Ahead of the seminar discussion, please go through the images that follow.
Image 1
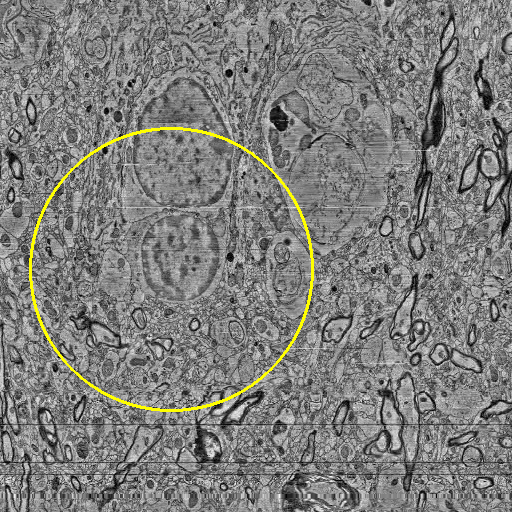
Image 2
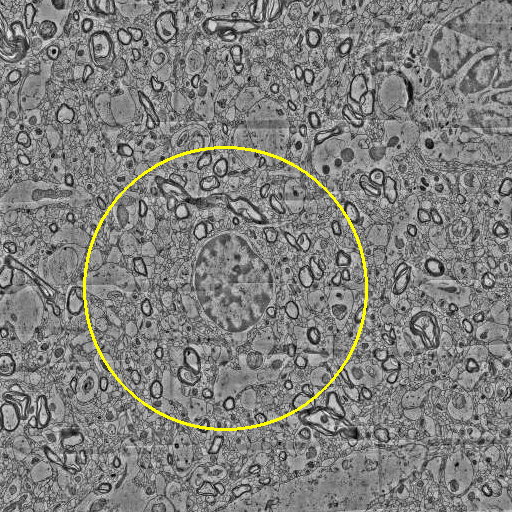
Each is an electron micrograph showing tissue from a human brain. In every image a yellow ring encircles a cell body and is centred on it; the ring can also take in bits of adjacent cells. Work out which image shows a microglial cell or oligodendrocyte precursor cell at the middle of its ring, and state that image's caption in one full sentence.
In Image 2, the ring's centre holds the cell you are looking for.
